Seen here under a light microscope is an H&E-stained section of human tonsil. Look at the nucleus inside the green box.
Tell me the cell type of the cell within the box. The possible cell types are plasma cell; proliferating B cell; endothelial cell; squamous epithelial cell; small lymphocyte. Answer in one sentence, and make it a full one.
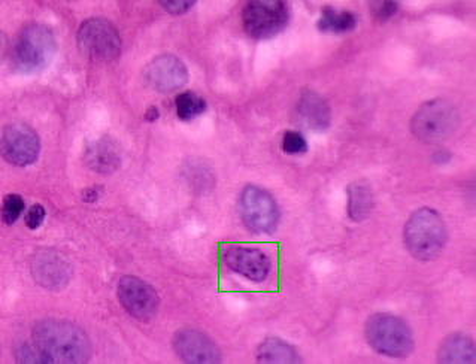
Labelled by cell type, the cell within the box is a squamous epithelial cell.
